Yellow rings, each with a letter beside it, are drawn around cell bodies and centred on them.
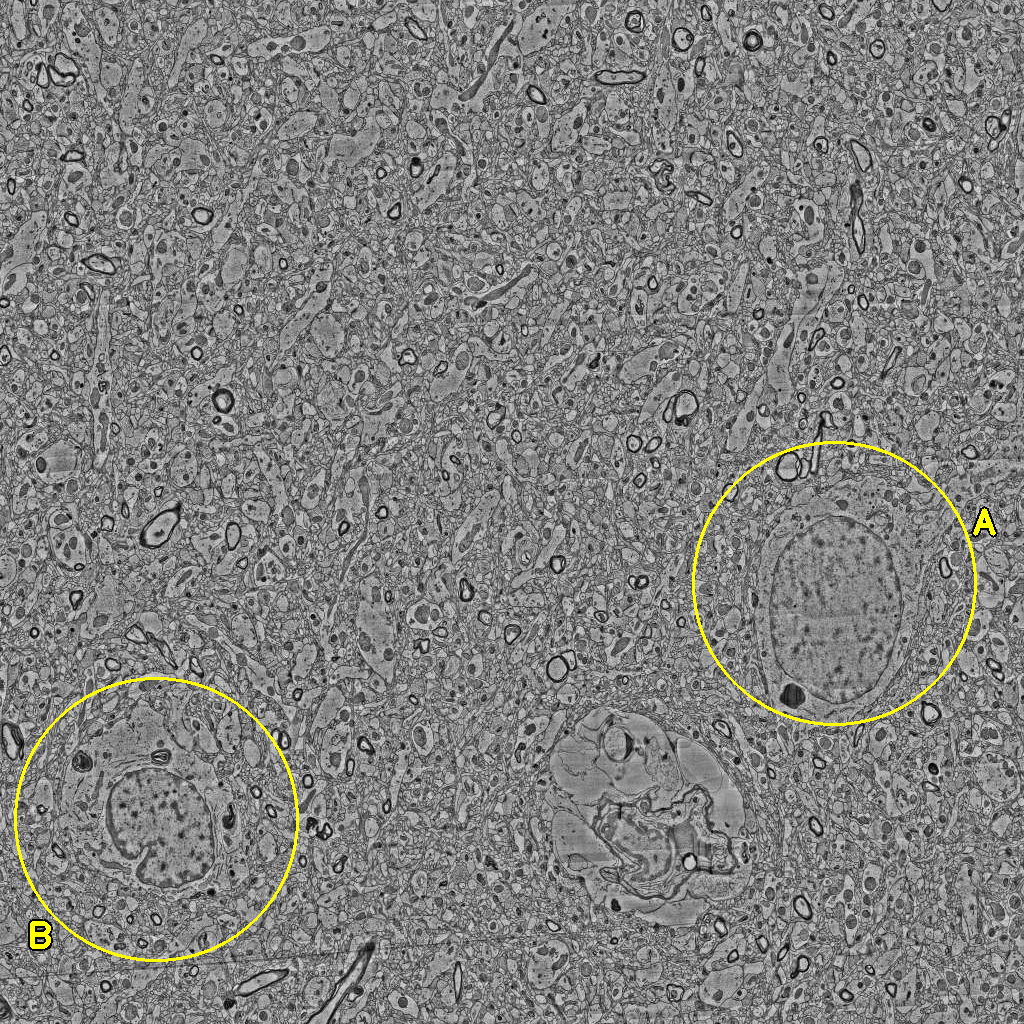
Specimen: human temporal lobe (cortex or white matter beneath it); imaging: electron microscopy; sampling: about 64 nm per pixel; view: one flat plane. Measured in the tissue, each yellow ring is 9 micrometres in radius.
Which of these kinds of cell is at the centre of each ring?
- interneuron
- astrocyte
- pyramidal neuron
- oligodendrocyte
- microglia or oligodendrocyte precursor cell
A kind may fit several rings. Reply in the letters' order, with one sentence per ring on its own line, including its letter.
The cell in the middle of ring A is an interneuron.
The cell in the middle of ring B is a microglial cell or oligodendrocyte precursor cell.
